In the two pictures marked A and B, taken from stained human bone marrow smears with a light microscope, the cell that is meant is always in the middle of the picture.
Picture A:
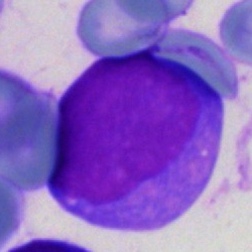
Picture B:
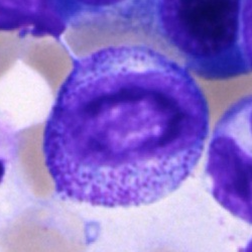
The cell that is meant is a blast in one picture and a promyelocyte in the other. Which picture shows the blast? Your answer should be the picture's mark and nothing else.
A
